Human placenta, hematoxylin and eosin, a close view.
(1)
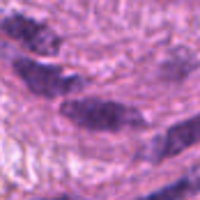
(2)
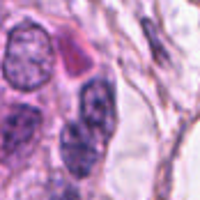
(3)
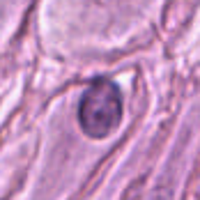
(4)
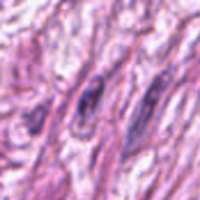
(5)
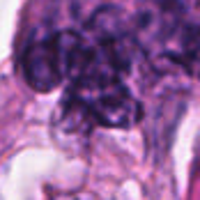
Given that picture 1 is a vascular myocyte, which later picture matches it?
4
